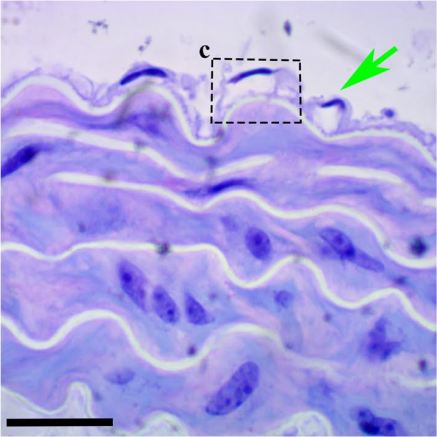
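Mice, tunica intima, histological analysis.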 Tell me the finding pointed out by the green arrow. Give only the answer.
partially detached endothelial cells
